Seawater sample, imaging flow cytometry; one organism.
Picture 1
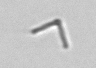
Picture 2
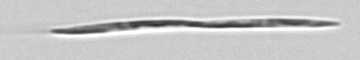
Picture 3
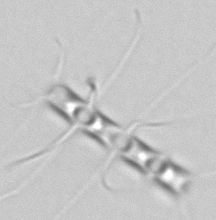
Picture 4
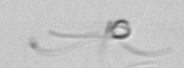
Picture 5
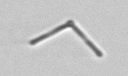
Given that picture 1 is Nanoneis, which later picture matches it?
5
